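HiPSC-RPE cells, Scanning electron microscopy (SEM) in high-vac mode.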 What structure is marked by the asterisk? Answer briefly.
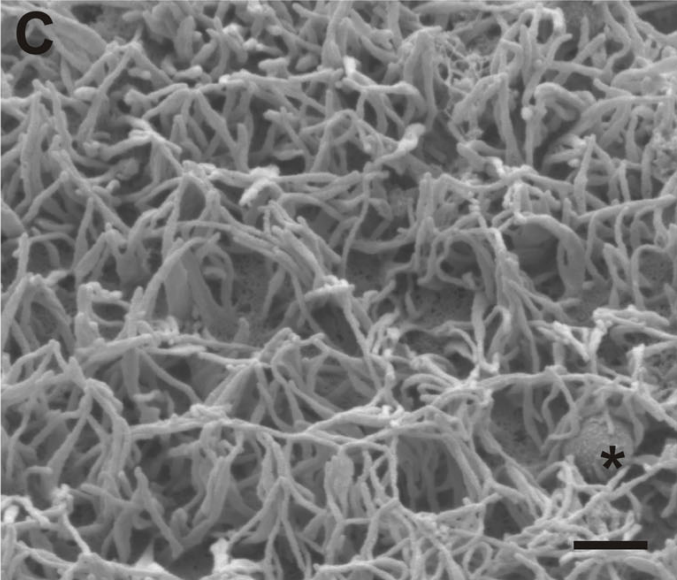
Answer: Vesicle-like structure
